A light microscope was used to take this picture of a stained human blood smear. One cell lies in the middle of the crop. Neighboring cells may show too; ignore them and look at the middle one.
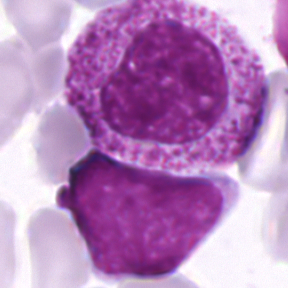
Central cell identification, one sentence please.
Among the cells in view, the one in the middle is a myelocyte.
